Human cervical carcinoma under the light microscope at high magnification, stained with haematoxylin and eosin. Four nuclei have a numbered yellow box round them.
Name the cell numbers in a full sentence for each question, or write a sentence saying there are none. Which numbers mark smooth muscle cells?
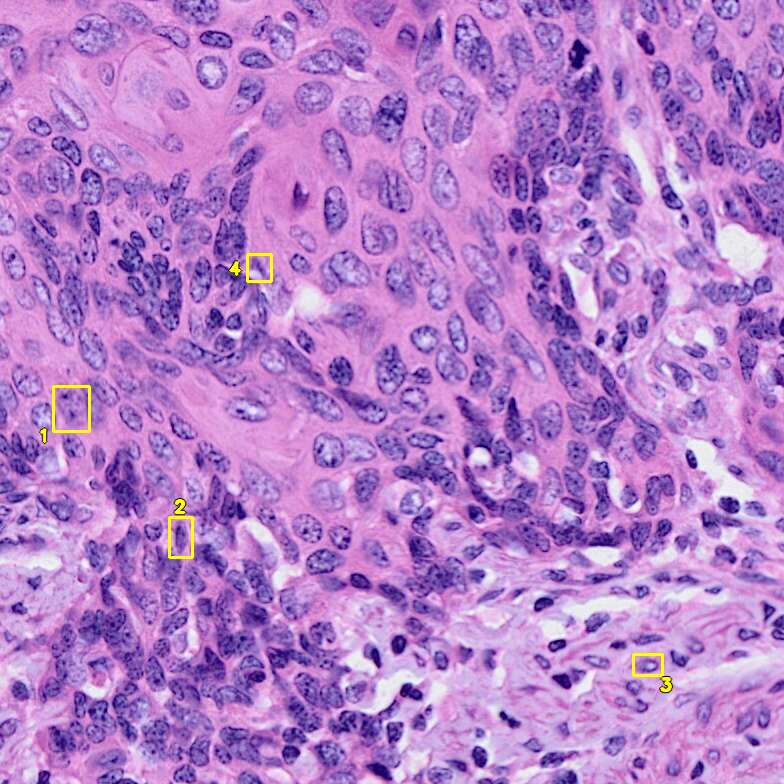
The one cell that is a smooth muscle cell is cell 3, and no other.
